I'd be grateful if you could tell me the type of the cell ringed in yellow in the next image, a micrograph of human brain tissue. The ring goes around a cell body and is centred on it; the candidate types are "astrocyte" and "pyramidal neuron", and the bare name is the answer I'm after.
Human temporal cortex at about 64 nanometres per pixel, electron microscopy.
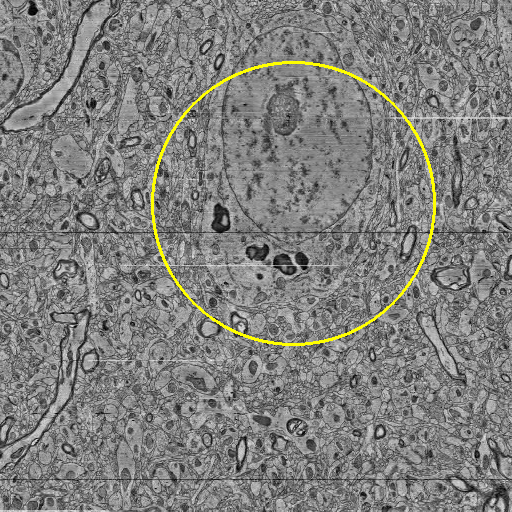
pyramidal neuron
